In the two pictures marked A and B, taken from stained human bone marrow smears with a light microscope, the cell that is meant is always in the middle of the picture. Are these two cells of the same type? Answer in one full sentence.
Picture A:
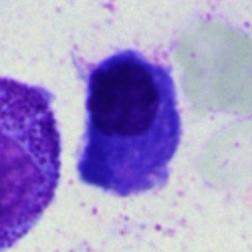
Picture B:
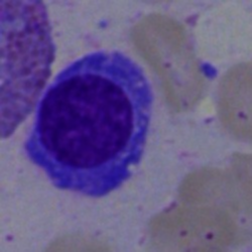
Yes, the two pictures both show plasma cells.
